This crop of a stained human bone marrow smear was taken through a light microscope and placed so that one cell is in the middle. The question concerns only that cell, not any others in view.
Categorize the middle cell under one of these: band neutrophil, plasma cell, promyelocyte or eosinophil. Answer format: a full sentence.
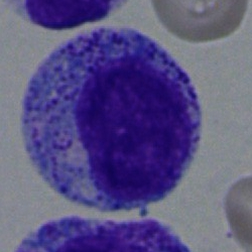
In the middle of this smear crop, the cell is a promyelocyte.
